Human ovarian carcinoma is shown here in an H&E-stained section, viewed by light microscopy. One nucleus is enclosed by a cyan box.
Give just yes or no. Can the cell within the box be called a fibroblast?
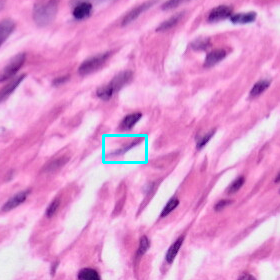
yes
